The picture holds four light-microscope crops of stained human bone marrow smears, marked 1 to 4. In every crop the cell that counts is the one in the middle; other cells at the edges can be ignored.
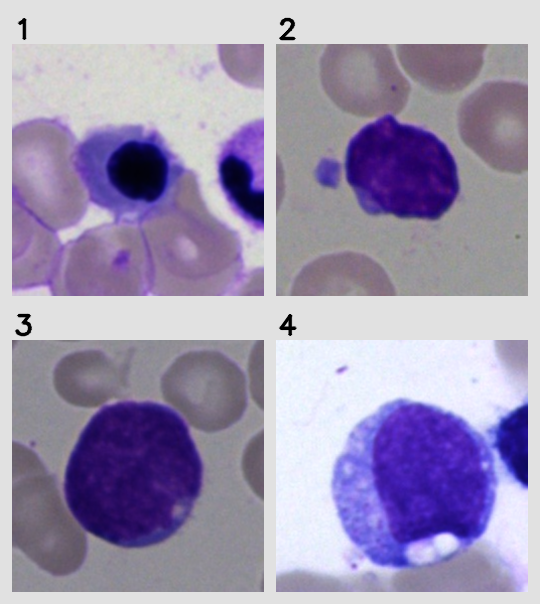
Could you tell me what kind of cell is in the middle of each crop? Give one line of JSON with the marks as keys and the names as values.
{"1": "erythroblast", "2": "blast", "3": "blast", "4": "blast"}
